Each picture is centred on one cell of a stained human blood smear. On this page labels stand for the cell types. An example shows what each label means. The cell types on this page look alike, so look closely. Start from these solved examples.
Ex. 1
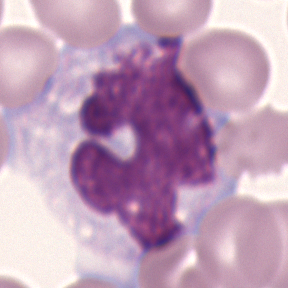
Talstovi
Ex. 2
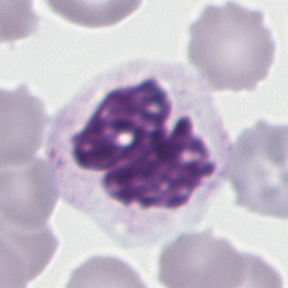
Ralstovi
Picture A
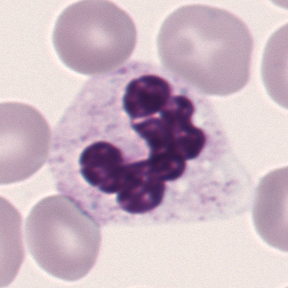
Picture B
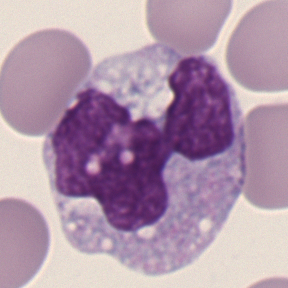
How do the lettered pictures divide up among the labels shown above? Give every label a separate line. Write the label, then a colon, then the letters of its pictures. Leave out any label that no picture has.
Talstovi: B
Ralstovi: A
